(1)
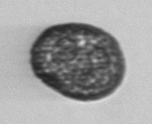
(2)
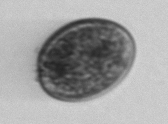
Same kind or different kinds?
Different: the first is Umbilicosphaera sibogae, the second Prorocentrum.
